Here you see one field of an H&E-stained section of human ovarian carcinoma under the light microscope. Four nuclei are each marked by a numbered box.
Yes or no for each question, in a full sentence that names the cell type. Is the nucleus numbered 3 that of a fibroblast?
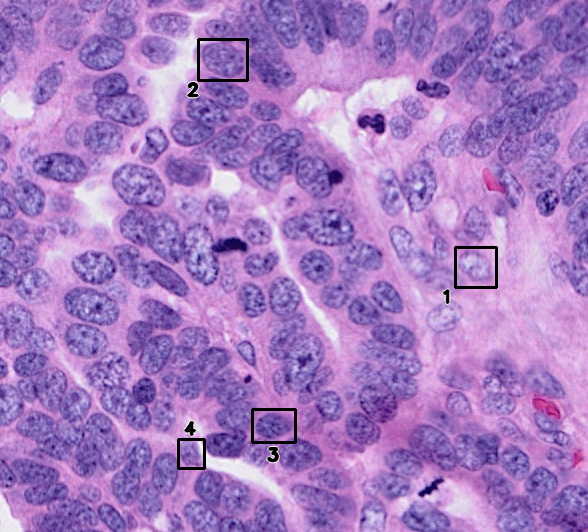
No, cell 3 is not to be taken for a fibroblast; it is a carcinoma cell.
